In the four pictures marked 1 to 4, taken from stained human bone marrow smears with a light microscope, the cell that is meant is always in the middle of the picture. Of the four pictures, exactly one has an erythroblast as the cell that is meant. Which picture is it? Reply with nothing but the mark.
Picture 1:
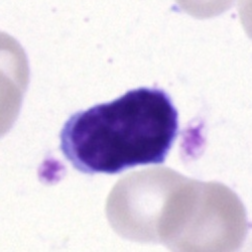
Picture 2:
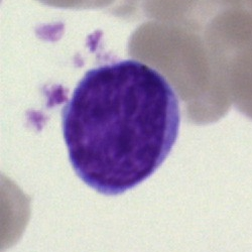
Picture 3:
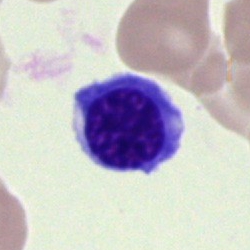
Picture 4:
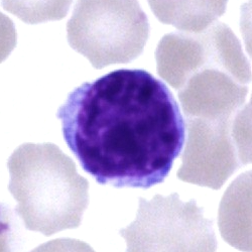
3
